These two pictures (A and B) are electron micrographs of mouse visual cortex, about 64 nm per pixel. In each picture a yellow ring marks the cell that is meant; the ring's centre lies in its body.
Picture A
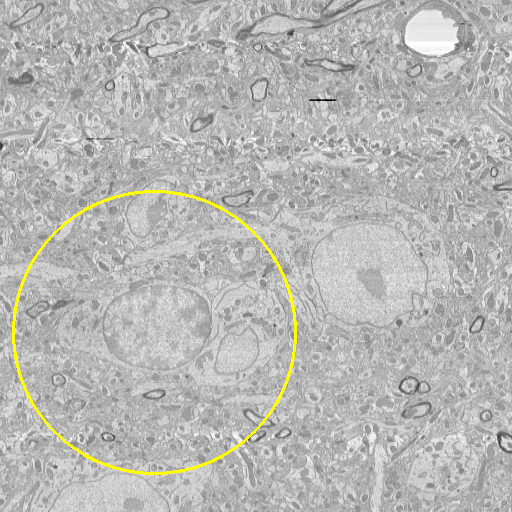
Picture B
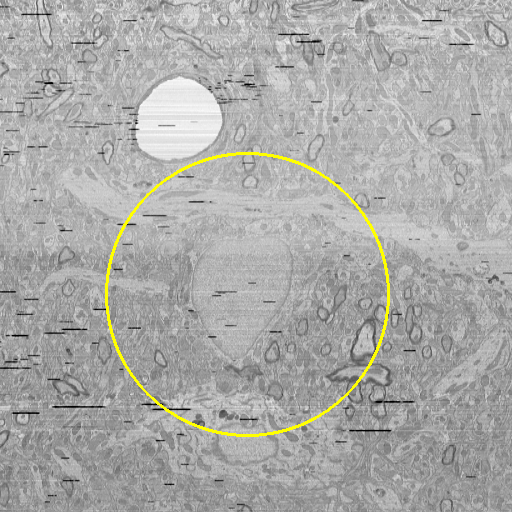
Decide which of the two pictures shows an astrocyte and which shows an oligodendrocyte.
In picture A the cell is an oligodendrocyte; in picture B, an astrocyte.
